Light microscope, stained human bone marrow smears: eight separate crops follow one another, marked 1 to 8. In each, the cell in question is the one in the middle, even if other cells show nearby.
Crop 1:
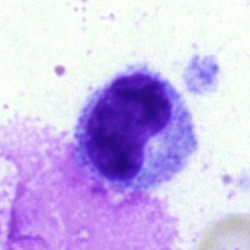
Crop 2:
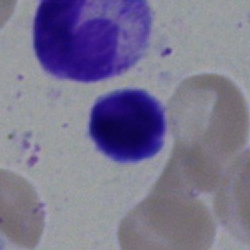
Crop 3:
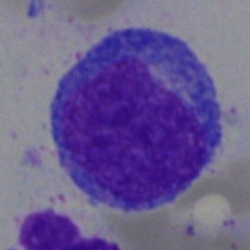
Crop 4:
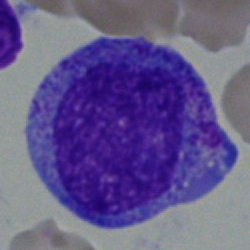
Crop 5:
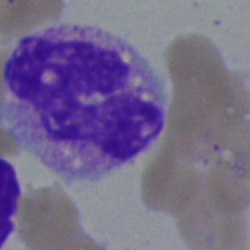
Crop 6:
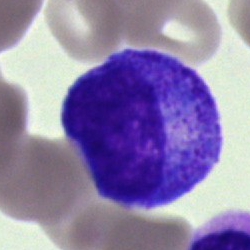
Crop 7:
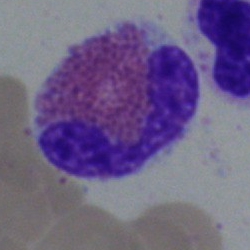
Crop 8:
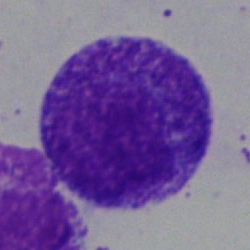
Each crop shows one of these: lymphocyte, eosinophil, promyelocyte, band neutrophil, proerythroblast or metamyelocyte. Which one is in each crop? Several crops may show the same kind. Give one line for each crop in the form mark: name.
1: metamyelocyte
2: lymphocyte
3: promyelocyte
4: promyelocyte
5: band neutrophil
6: promyelocyte
7: eosinophil
8: promyelocyte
